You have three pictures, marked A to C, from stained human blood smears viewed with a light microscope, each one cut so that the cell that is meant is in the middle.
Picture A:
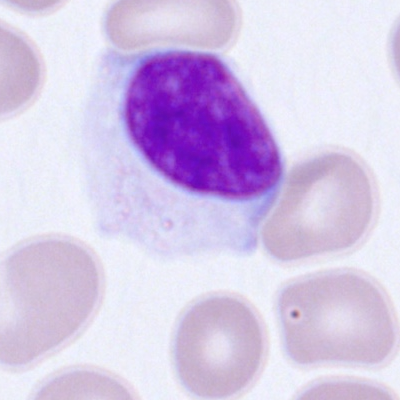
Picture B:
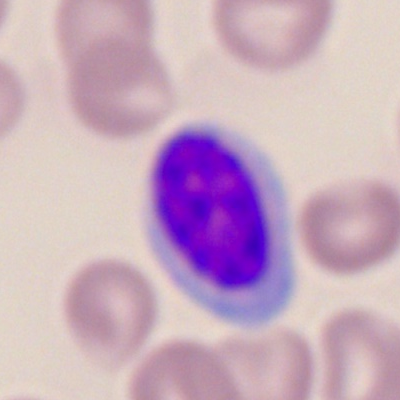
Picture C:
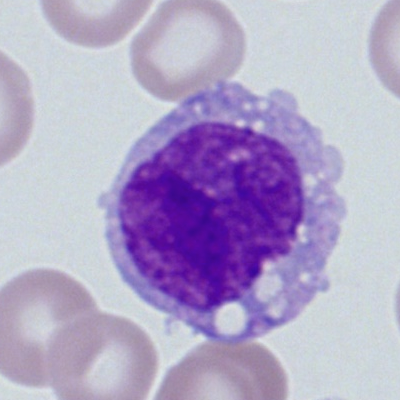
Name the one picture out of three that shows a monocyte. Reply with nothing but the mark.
C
